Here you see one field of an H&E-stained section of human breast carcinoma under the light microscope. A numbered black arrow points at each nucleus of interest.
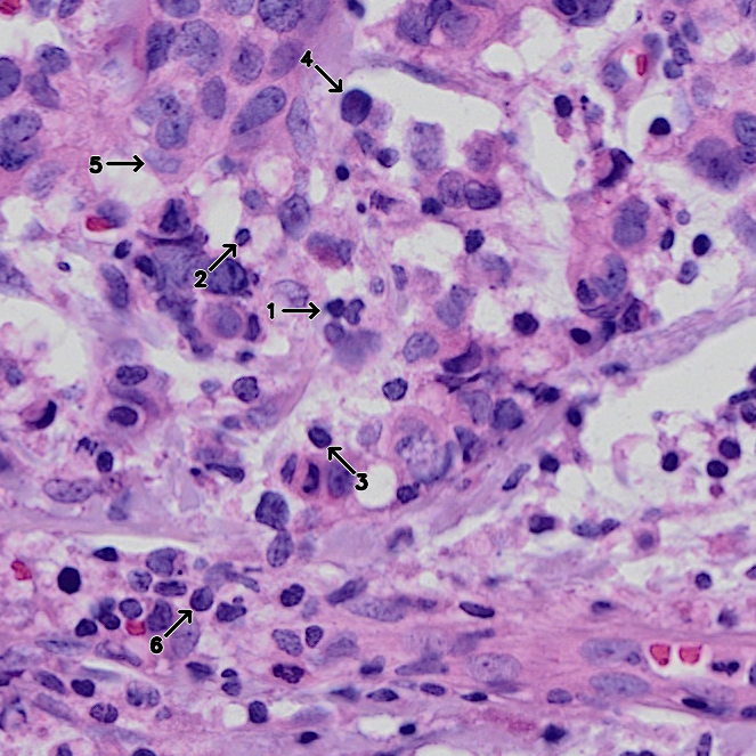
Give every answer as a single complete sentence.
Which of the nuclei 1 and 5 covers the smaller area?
Number 1 is smaller, since number 5 takes up about 1.5 times as much area.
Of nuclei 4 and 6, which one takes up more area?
Number 4 is larger; its area is about 2 times that of number 6.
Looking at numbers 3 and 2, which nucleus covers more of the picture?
Of the two, number 3 is bigger and takes up about 1.5 times the area of number 2.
